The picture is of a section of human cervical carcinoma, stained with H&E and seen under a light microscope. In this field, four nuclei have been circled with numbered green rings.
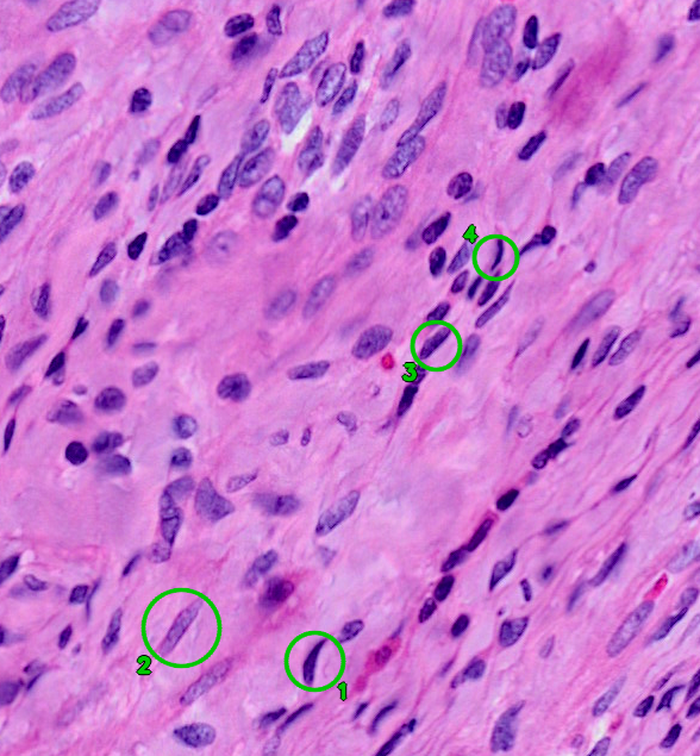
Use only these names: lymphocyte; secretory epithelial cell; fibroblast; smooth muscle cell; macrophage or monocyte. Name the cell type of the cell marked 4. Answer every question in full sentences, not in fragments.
Regarding cell 4, this one is a fibroblast.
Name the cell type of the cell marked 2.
Within this field of view, the cell labelled 2 is a smooth muscle cell.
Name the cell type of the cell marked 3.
As for number 3, that cell is a fibroblast.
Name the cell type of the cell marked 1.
Within this field of view, the cell labelled 1 is a fibroblast.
